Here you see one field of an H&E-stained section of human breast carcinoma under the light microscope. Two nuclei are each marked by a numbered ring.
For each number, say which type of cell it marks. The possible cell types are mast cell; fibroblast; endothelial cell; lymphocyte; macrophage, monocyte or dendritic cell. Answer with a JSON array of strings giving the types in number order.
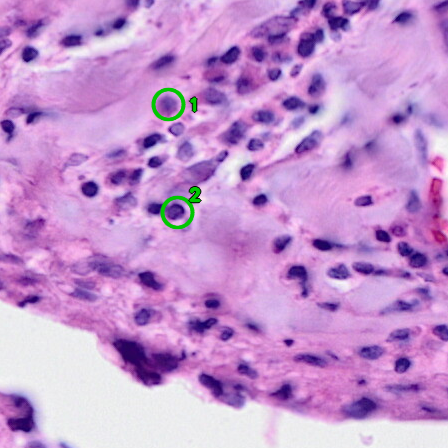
["mast cell", "lymphocyte"]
